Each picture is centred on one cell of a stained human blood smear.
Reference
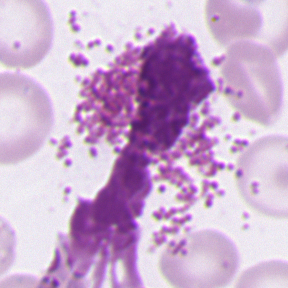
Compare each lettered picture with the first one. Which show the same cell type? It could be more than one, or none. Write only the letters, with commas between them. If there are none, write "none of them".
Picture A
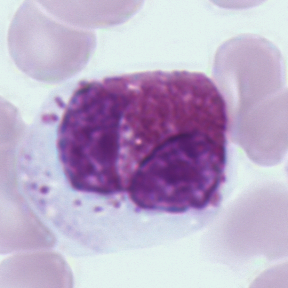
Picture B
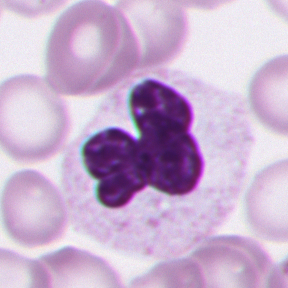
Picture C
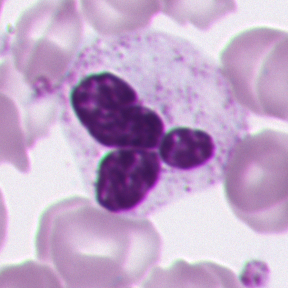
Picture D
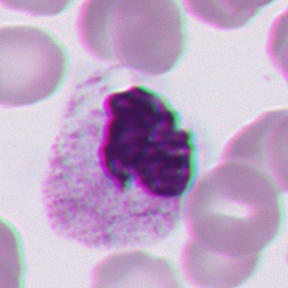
A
